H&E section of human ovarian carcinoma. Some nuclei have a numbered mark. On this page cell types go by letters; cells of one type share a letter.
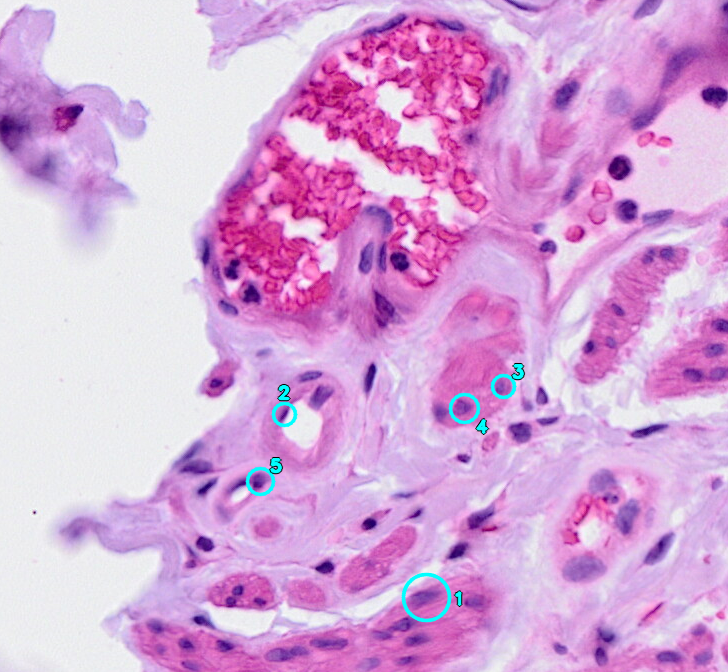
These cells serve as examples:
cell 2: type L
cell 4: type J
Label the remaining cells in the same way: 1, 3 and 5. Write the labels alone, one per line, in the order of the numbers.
type J
type J
type L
